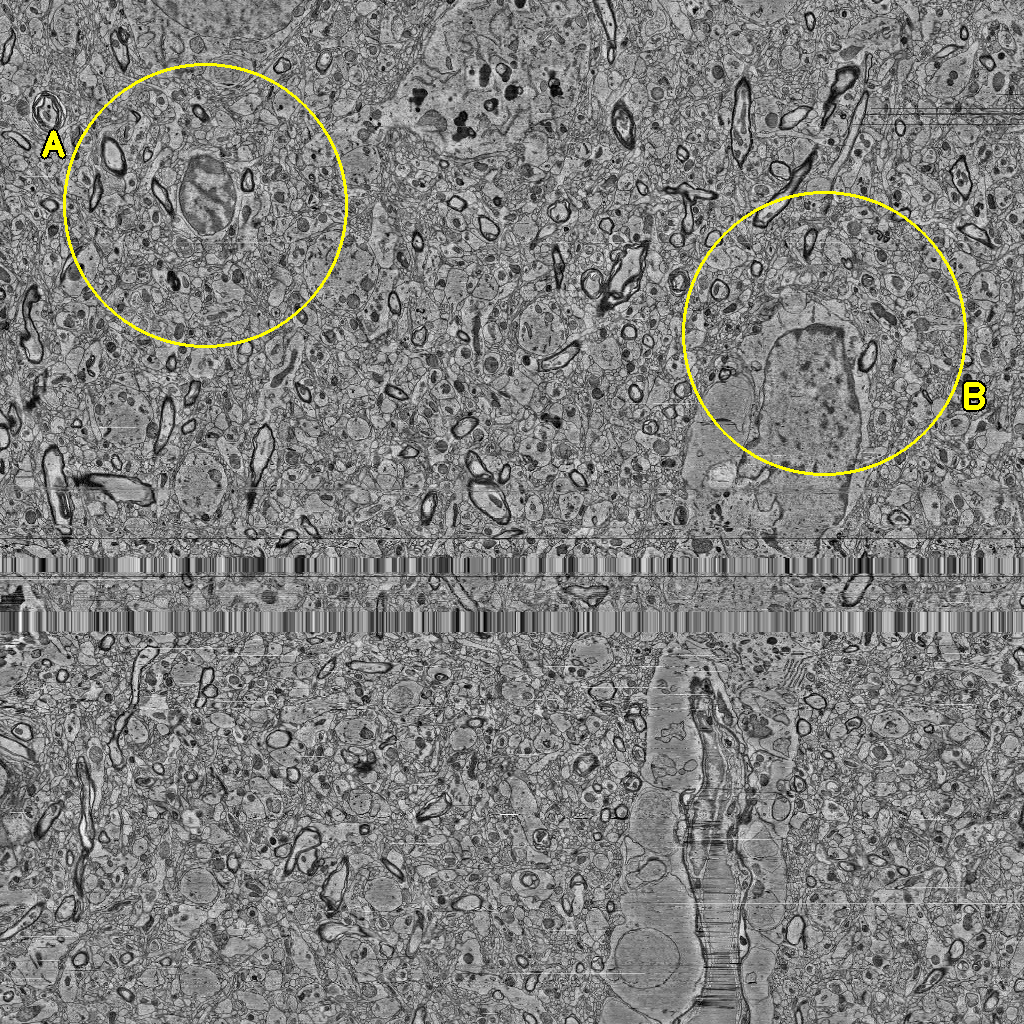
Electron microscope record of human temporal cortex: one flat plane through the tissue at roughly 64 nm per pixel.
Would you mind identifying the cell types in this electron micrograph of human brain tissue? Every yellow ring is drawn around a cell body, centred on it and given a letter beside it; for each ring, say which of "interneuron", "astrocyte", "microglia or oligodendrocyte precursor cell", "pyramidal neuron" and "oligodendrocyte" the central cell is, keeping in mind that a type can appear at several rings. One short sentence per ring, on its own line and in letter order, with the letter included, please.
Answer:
At the centre of ring A lies a microglial cell or oligodendrocyte precursor cell.
At the centre of ring B lies a microglial cell or oligodendrocyte precursor cell.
